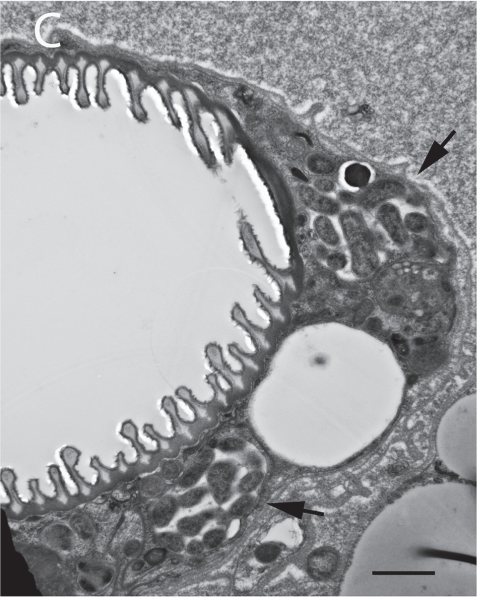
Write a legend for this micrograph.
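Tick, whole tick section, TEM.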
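A large, round, empty lumen is lined by a dark cuticle drawn into regular, finger-like ridges projecting inward. Around its outside runs a thin layer of cells whose cytoplasm contains vacuoles packed with small rod-shaped bodies. A second smaller round pale space lies within the wrapping cell layer.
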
